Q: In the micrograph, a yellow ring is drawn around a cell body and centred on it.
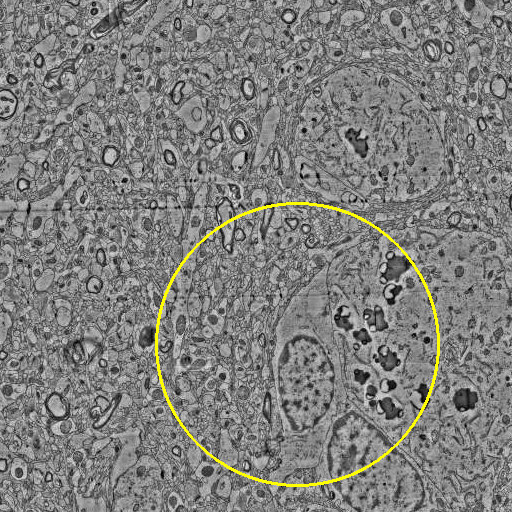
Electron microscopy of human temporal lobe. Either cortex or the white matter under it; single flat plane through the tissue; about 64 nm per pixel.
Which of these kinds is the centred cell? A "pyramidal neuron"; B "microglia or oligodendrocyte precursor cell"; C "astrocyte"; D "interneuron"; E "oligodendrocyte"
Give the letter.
B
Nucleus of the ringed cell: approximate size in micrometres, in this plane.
Roughly 6 by 4 micrometers, clearly longer than it is wide in this plane.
